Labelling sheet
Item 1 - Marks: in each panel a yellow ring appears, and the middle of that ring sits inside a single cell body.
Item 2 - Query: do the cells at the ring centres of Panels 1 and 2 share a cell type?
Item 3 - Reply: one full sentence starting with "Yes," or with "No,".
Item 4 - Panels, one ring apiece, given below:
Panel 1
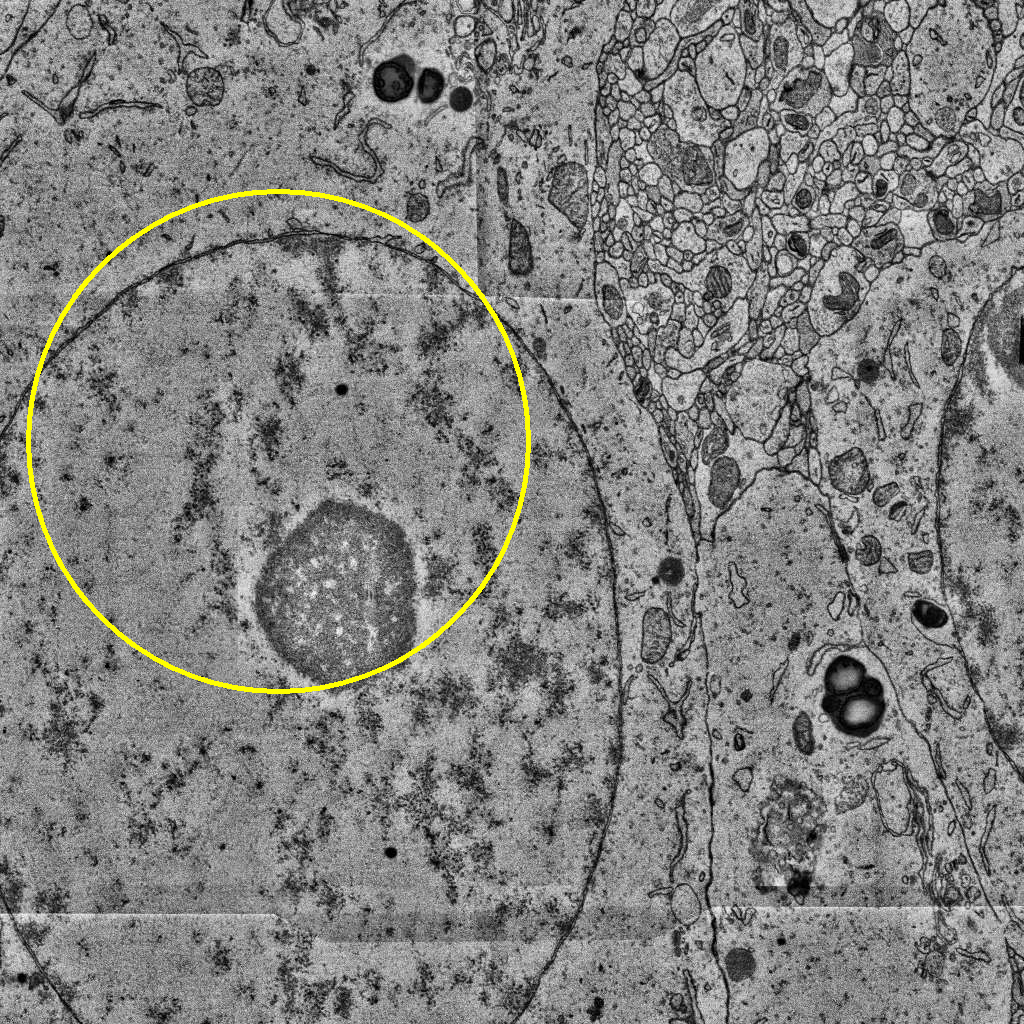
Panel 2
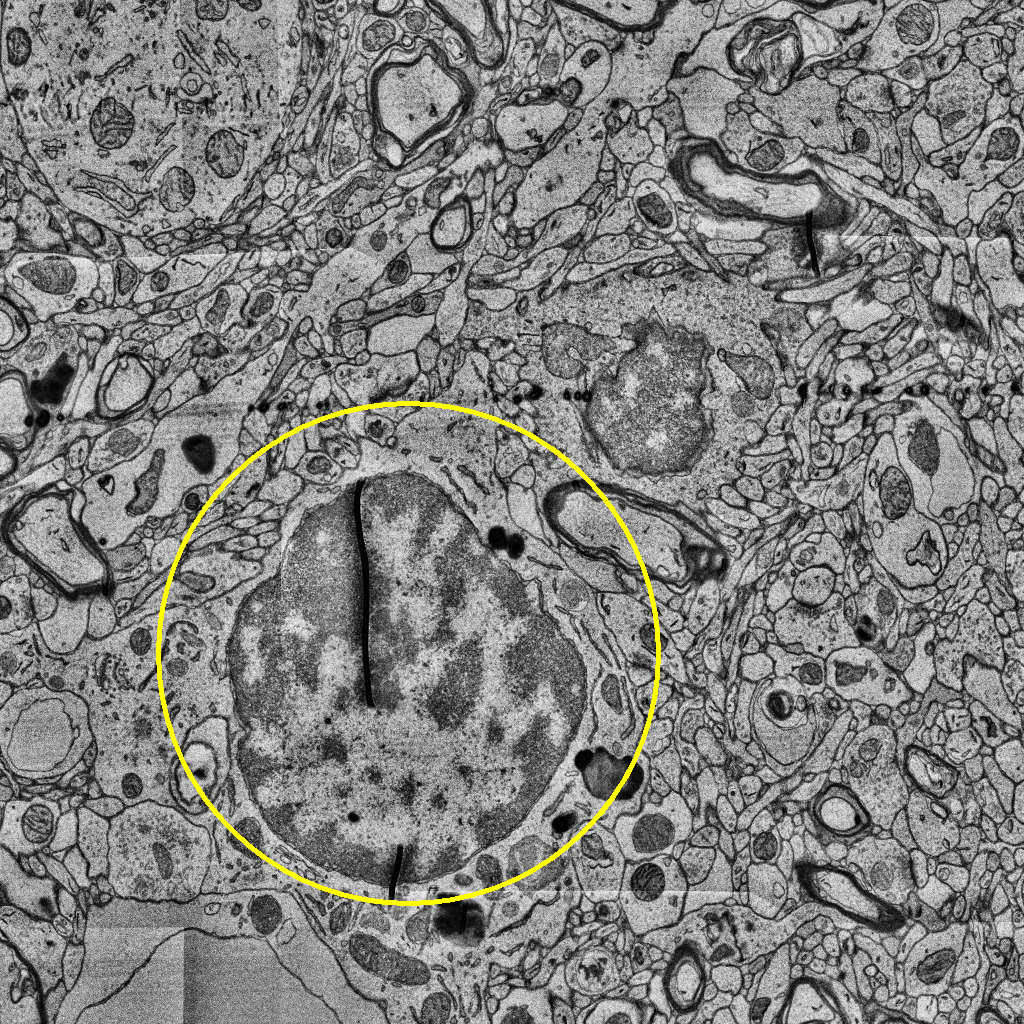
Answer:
No, Panel 1 and Panel 2 show two cell types at the centres of their rings.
